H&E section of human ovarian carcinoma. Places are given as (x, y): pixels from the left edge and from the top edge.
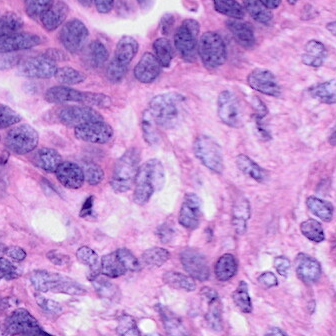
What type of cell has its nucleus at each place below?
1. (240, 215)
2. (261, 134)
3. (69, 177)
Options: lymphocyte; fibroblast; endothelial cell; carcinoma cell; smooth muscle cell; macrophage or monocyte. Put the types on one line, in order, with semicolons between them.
fibroblast; fibroblast; carcinoma cell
